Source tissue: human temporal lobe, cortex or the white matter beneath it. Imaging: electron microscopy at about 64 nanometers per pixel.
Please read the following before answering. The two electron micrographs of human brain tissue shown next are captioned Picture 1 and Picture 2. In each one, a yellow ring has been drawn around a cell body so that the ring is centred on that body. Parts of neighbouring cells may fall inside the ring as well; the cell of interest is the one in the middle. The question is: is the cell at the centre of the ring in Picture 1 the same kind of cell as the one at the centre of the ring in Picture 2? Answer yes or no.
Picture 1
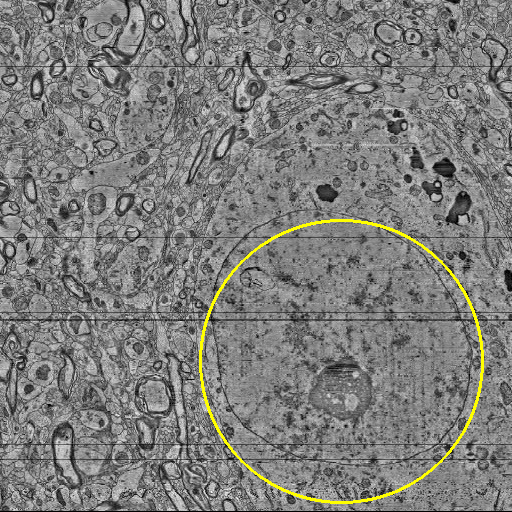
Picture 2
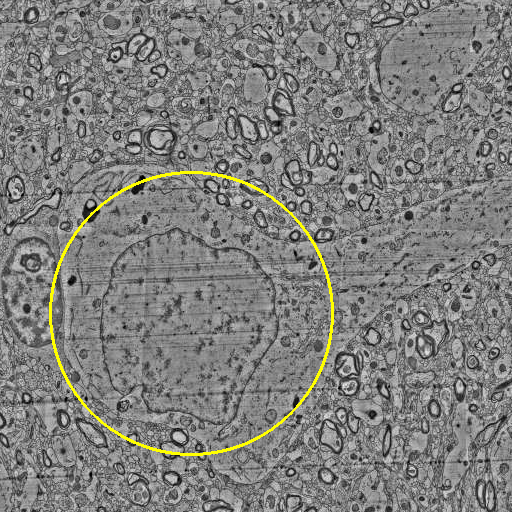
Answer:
yes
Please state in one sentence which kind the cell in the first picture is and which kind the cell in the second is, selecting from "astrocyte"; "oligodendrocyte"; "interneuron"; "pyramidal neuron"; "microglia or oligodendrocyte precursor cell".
Each of the two rings surrounds a pyramidal neuron.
